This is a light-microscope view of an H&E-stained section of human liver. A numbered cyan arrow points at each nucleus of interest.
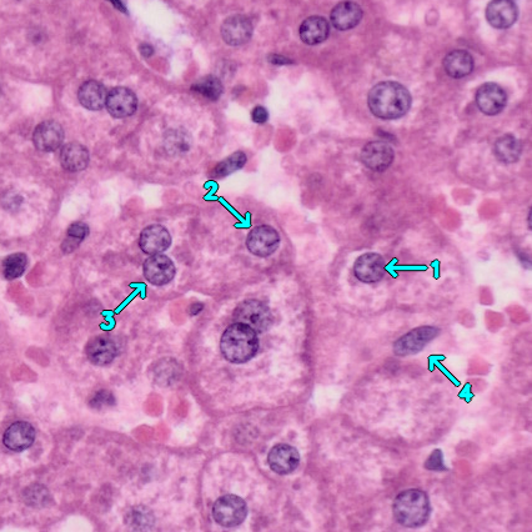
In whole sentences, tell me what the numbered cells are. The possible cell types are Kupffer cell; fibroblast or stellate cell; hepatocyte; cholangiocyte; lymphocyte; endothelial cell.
Cell 1 is a hepatocyte, cell 2 is a hepatocyte, cell 3 is a hepatocyte and cell 4 is a Kupffer cell.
